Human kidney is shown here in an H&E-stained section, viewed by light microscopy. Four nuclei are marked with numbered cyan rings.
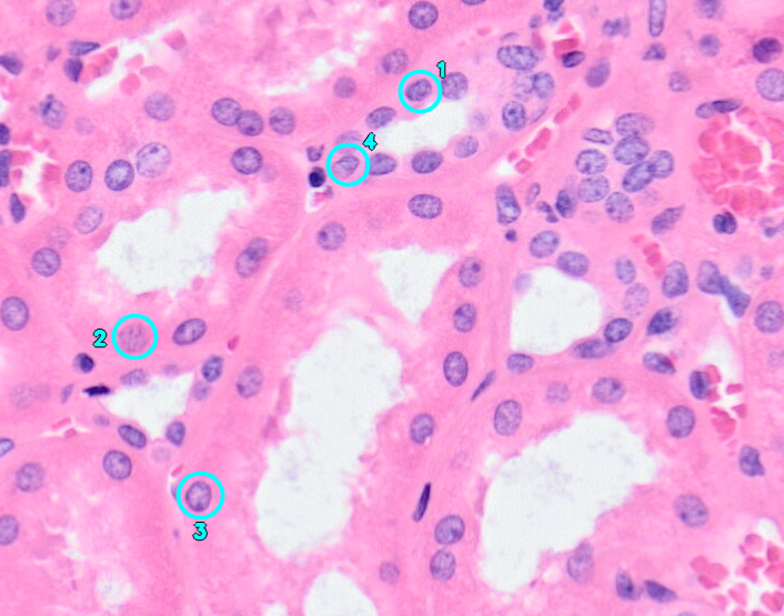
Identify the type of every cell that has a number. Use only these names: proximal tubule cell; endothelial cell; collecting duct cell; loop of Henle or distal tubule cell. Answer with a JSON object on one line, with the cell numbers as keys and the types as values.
{"1": "collecting duct cell", "2": "proximal tubule cell", "3": "proximal tubule cell", "4": "collecting duct cell"}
